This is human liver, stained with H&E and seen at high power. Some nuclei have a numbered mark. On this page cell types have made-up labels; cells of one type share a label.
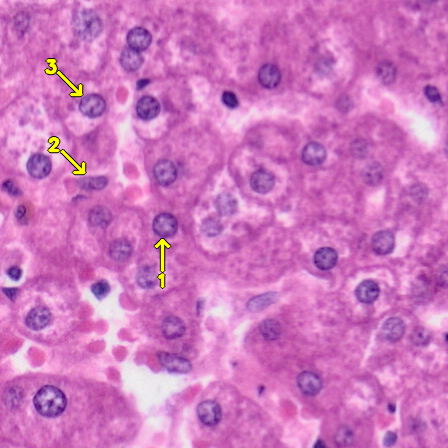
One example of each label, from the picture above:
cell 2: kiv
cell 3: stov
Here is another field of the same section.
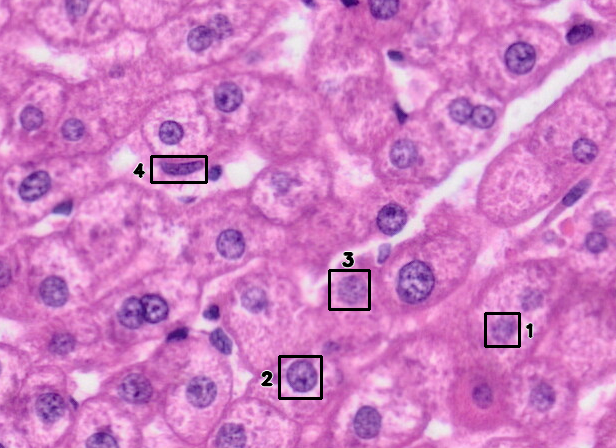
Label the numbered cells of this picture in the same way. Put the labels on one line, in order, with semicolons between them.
stov; stov; stov; kiv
